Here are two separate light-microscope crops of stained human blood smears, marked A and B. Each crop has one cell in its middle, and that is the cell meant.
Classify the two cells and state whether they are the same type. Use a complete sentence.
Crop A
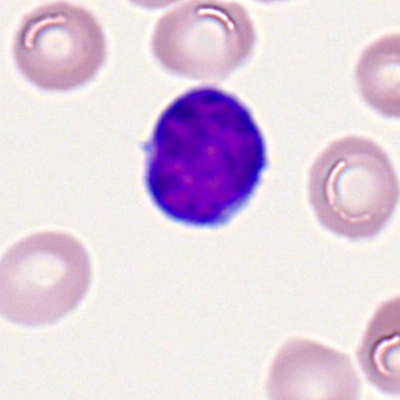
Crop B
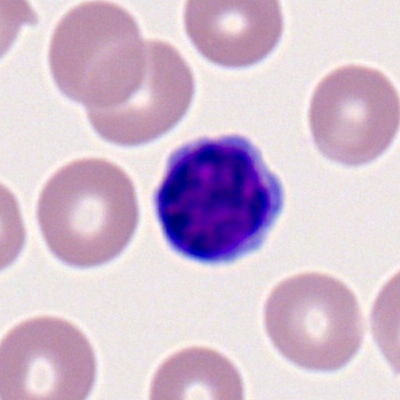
Yes, lymphocytes are depicted in both crops.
